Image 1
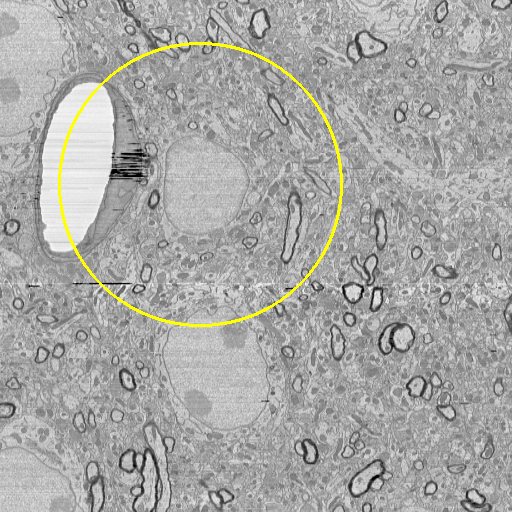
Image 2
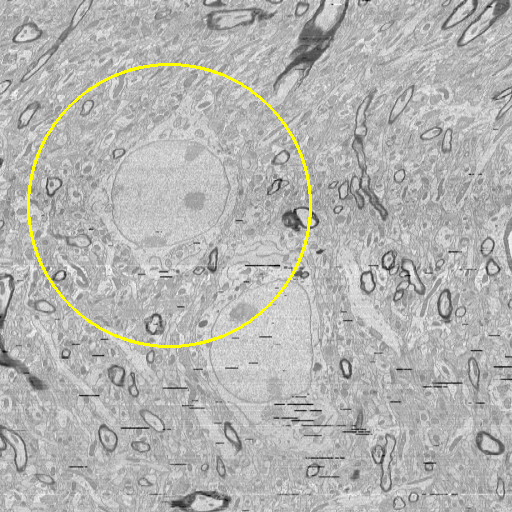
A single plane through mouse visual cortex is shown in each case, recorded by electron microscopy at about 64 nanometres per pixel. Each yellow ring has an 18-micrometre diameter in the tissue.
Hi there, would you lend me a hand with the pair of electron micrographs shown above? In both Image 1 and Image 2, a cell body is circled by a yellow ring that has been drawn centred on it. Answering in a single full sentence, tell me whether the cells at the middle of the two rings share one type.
No, the ringed cells in Image 1 and Image 2 belong to two types.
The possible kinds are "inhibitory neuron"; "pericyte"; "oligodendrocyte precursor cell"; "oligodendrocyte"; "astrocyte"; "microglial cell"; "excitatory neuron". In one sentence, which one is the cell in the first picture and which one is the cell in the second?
The cell ringed in the second picture is an excitatory neuron, whereas the one ringed in the first is an astrocyte.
